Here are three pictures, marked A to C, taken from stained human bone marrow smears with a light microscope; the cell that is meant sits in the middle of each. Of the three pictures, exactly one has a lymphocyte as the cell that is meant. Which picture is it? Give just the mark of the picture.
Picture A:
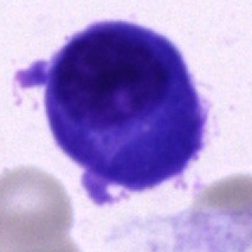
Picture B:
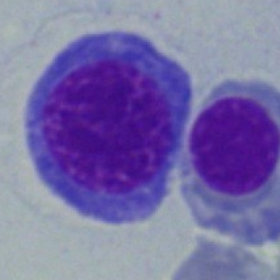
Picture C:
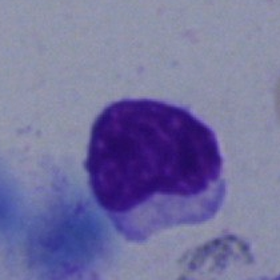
C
